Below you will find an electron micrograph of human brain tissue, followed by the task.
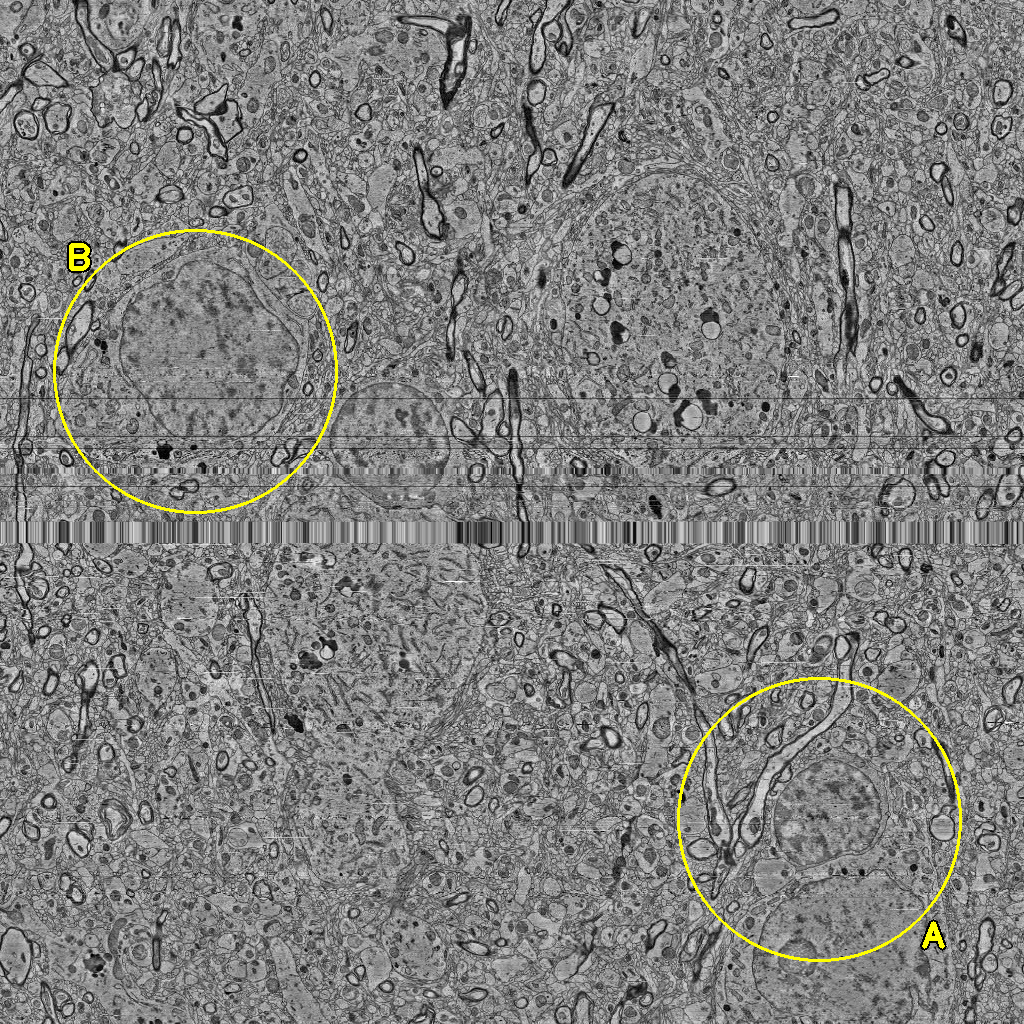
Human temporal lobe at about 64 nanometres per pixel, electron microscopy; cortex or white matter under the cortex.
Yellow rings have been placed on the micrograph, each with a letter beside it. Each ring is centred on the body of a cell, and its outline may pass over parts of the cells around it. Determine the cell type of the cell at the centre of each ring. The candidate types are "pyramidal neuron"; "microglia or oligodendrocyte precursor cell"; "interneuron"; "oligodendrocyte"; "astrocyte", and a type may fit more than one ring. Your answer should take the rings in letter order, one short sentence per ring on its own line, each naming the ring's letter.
The centre of ring A falls on an oligodendrocyte.
The centre of ring B falls on an interneuron.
